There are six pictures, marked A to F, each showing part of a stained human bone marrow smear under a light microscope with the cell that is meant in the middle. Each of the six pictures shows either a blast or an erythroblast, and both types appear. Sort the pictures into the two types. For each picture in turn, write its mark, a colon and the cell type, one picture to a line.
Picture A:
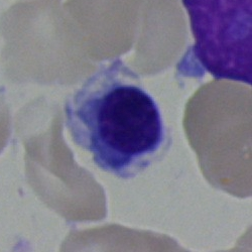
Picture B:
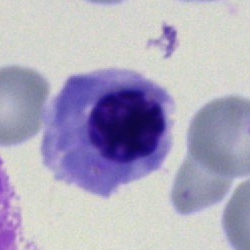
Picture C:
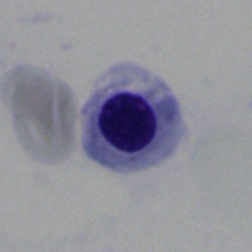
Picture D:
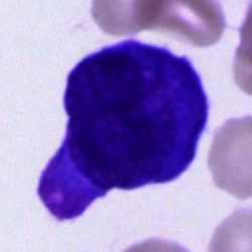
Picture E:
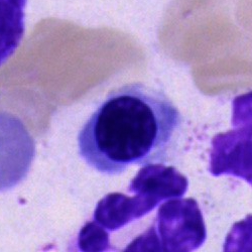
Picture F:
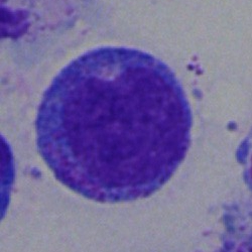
A: erythroblast
B: erythroblast
C: erythroblast
D: blast
E: erythroblast
F: blast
